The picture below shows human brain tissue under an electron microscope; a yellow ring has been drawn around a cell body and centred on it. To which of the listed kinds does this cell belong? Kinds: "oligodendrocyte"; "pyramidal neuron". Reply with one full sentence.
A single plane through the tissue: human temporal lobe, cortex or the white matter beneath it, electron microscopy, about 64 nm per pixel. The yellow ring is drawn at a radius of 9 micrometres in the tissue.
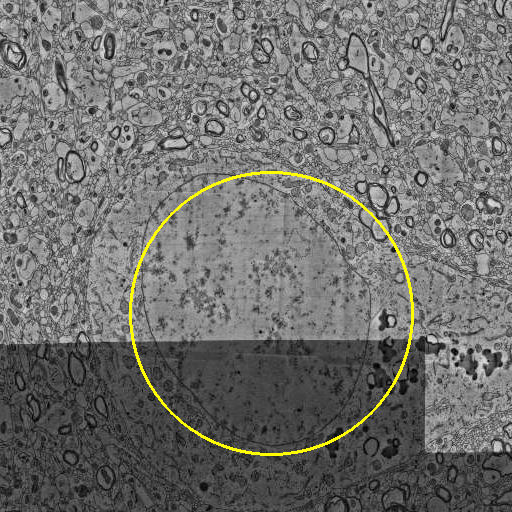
It is a pyramidal neuron that the yellow ring in the picture is centred on.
